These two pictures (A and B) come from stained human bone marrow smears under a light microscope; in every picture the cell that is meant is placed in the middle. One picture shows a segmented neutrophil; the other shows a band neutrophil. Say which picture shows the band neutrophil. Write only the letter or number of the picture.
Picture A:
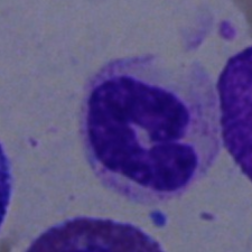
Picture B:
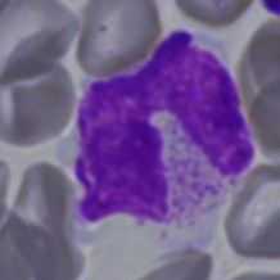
B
